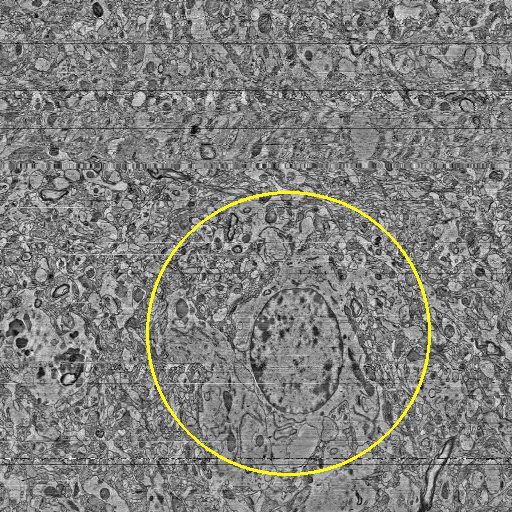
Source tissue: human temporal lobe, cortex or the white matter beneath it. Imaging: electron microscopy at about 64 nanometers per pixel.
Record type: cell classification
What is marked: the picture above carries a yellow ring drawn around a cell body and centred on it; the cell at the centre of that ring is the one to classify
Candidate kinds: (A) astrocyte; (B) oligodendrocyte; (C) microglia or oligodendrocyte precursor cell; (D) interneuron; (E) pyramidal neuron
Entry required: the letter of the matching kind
A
